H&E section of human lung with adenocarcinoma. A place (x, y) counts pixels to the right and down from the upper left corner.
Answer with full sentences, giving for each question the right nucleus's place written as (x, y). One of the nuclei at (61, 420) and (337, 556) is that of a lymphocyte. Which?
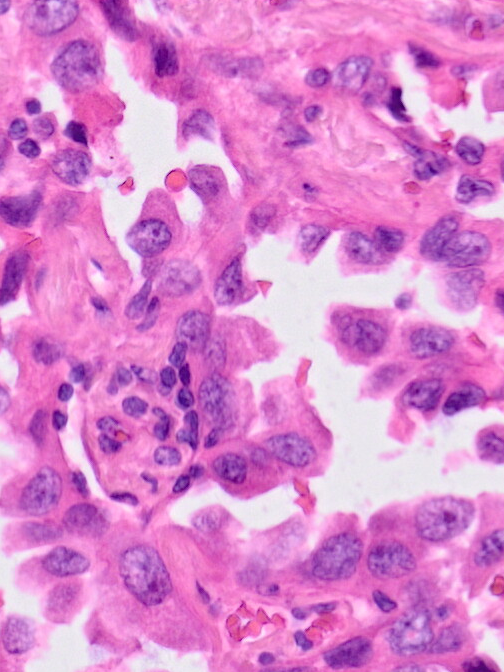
The nucleus at (61, 420) is the one of the two that belongs to a lymphocyte.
